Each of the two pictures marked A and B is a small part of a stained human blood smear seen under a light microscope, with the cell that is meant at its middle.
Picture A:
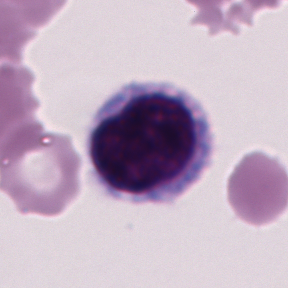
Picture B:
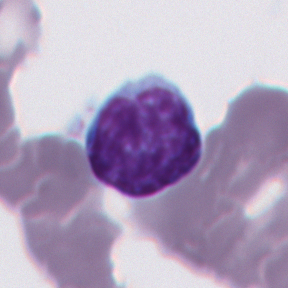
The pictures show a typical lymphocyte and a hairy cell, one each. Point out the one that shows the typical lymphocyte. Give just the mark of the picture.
B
